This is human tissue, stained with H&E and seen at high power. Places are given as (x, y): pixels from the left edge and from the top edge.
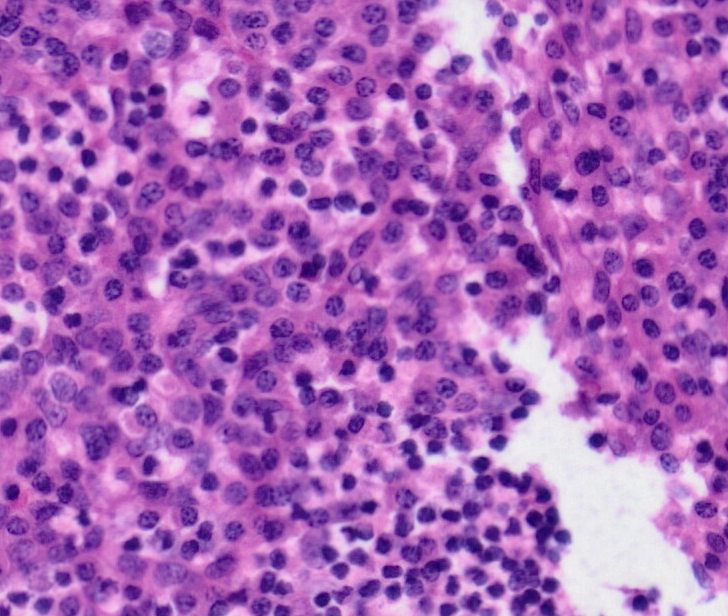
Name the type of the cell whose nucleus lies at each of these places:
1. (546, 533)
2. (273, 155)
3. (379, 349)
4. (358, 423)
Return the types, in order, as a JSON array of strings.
["small lymphocyte", "plasma cell", "plasma cell", "plasma cell"]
